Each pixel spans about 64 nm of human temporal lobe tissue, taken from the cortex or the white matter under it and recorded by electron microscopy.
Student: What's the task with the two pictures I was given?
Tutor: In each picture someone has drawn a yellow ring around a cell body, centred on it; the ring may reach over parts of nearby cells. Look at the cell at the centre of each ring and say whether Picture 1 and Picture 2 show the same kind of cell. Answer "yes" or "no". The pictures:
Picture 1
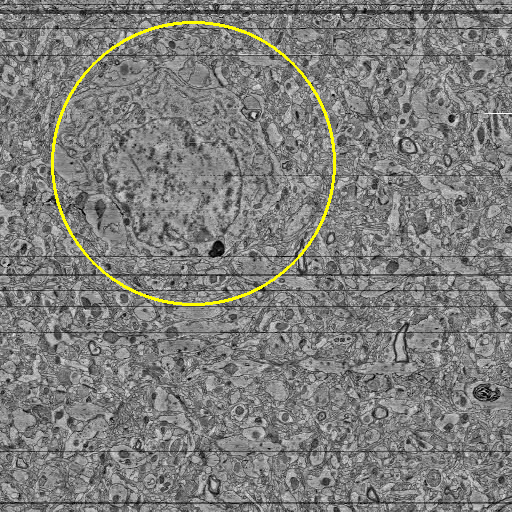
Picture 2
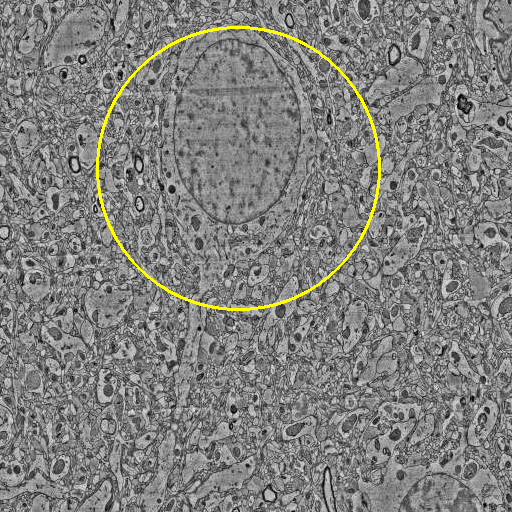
no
